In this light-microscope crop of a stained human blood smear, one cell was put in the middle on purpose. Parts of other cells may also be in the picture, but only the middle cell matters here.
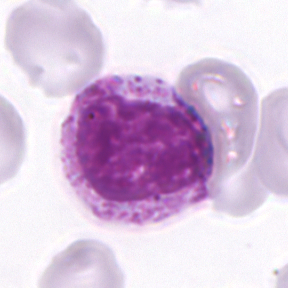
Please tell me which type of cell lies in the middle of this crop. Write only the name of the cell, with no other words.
myelocyte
